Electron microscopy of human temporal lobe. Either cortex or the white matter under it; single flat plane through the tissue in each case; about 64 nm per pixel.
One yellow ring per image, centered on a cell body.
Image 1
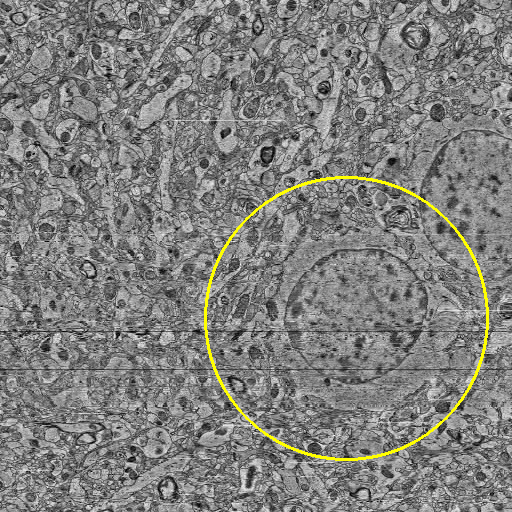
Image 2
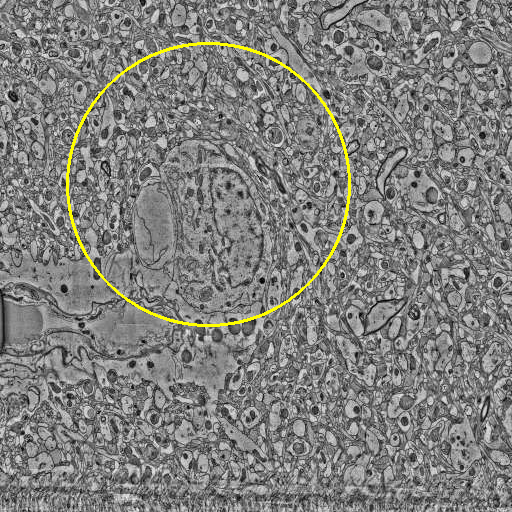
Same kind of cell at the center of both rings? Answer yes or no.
no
